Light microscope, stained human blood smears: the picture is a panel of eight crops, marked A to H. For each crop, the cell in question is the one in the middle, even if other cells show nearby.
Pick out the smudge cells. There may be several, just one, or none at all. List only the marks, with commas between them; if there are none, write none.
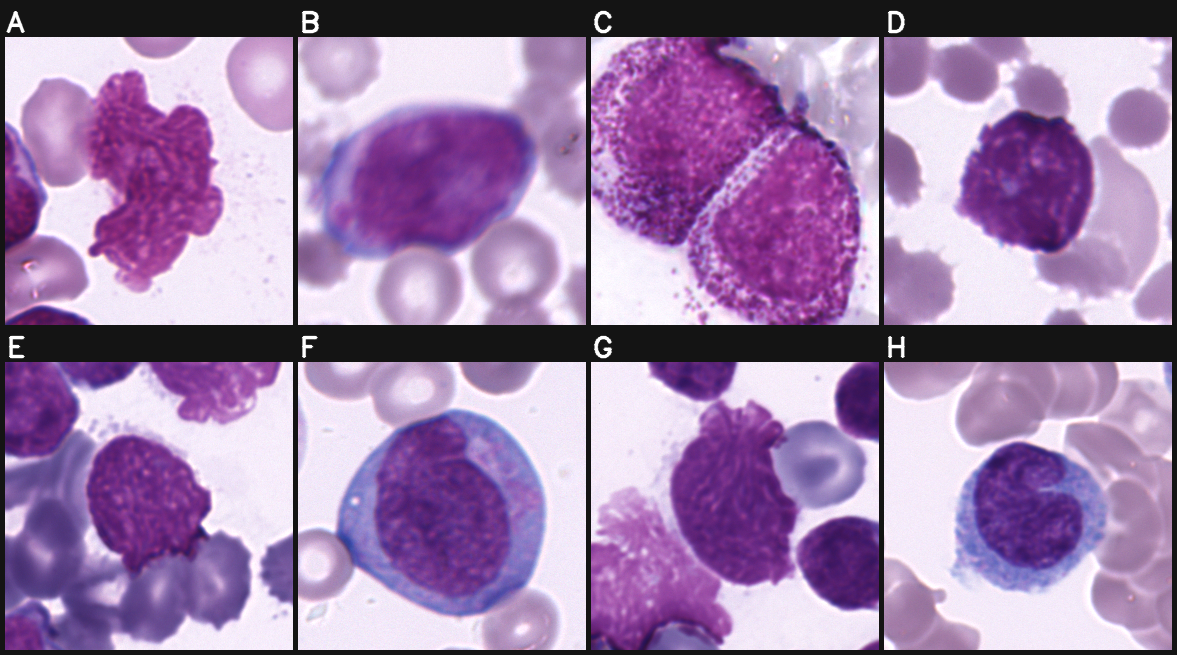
A, D, E, G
